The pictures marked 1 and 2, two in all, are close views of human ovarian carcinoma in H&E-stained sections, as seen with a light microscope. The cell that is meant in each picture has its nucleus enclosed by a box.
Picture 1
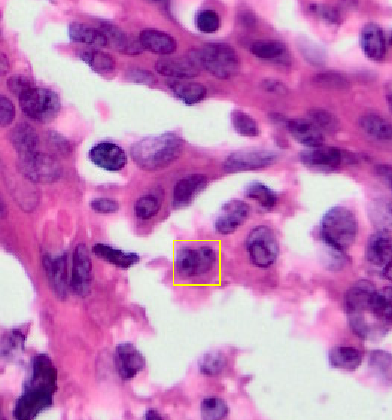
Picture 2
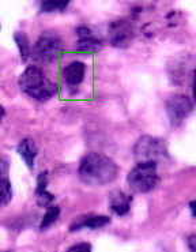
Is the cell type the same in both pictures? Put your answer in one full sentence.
No, the types are not the same, since picture 1 shows a “macrophage or monocyte” and picture 2 a carcinoma cell.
